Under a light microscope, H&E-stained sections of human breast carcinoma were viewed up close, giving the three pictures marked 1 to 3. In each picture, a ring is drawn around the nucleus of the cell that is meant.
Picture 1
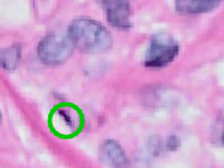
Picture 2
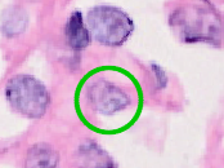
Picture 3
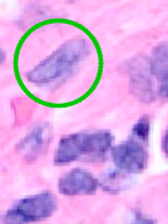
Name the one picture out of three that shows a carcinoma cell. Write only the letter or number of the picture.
2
